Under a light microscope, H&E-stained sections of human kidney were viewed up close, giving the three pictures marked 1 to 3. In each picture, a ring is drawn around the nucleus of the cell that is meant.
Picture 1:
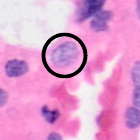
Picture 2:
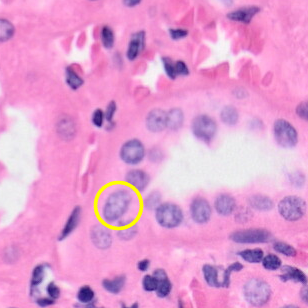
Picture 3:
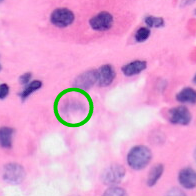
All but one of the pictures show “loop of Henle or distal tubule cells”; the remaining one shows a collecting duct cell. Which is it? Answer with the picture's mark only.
2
